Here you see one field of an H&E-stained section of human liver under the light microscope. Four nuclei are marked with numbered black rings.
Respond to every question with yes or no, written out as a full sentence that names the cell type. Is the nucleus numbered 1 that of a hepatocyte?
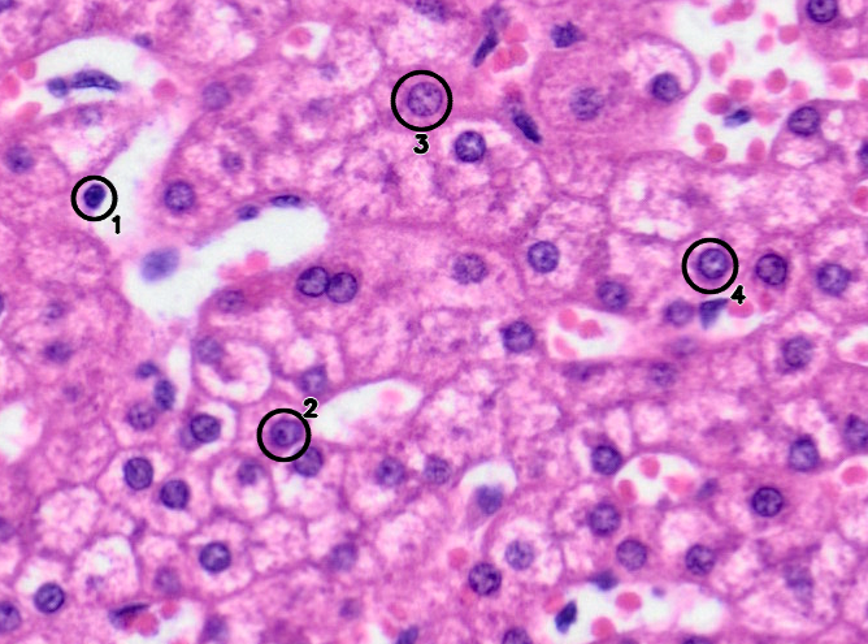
No, cell 1 is not a hepatocyte: it is a lymphocyte.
